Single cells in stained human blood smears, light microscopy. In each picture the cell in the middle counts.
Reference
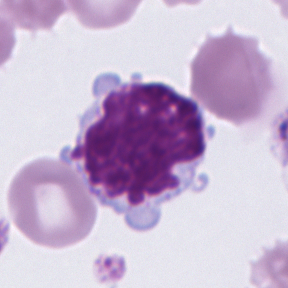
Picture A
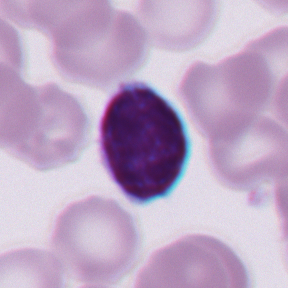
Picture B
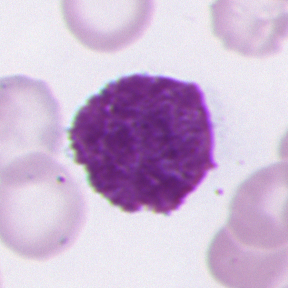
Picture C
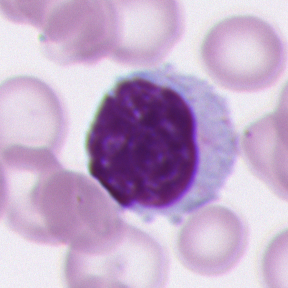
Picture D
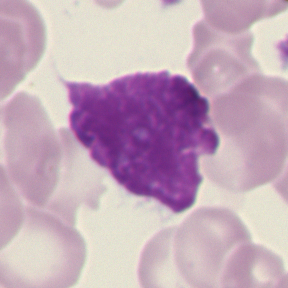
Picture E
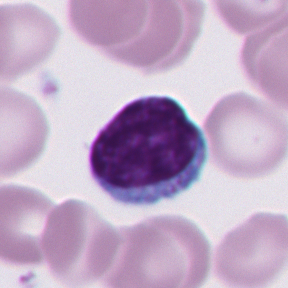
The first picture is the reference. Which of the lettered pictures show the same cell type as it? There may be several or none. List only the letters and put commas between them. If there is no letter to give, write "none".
A, C, E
